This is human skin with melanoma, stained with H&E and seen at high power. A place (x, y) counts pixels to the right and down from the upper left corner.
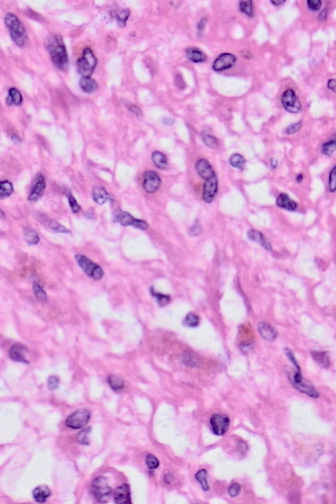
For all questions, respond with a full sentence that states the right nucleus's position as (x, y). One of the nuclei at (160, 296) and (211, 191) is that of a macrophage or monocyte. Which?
Identified as belonging to a macrophage or monocyte is the nucleus at (211, 191).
